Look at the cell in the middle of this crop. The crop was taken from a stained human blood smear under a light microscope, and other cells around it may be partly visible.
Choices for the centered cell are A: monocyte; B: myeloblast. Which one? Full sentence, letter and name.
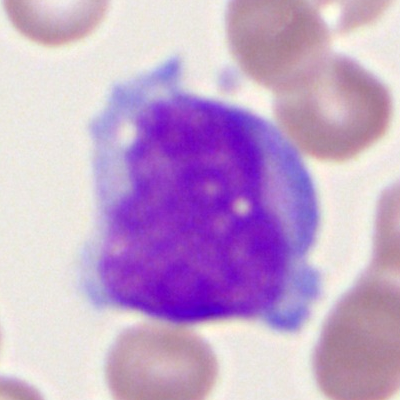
The correct option is A, as the central cell is a monocyte.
